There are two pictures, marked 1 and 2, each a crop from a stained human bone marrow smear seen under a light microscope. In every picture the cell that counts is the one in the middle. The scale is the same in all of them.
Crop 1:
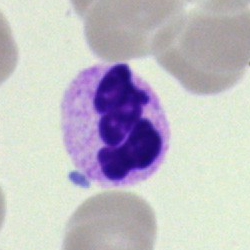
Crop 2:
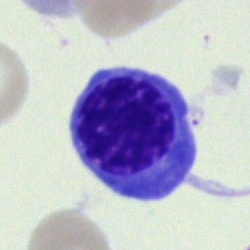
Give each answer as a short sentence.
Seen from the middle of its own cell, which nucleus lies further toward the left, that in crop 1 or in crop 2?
The nucleus in crop 2 lies further toward the left of its cell.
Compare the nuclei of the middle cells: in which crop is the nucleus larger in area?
Crop 2 shows the larger nucleus; it covers about 1.5 times the area of the nucleus in crop 1.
